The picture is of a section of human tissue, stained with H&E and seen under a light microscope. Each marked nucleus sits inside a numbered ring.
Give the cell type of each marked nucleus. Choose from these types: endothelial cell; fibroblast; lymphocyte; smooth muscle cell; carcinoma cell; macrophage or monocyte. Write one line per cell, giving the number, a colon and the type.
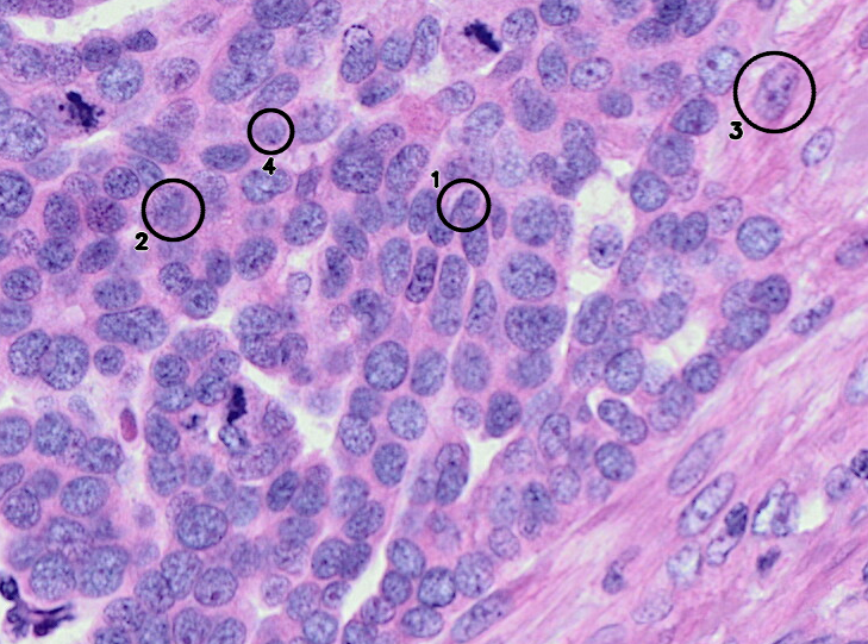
1: carcinoma cell
2: carcinoma cell
3: fibroblast
4: carcinoma cell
